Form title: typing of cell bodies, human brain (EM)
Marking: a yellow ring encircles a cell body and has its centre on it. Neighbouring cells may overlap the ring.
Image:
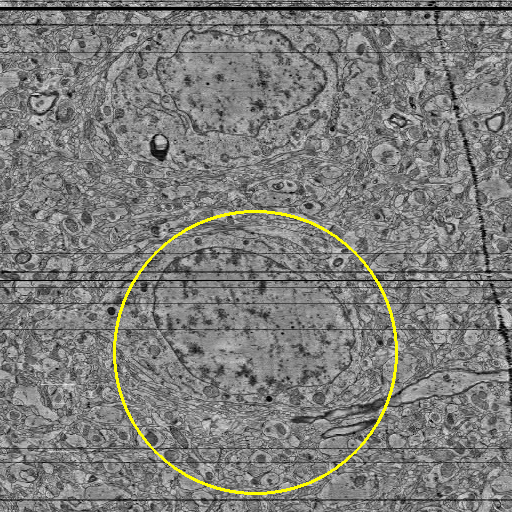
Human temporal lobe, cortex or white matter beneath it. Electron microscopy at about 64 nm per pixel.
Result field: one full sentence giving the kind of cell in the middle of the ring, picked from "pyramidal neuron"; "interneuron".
In the picture, the ring is centred on a pyramidal neuron, whose cell body it encircles.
